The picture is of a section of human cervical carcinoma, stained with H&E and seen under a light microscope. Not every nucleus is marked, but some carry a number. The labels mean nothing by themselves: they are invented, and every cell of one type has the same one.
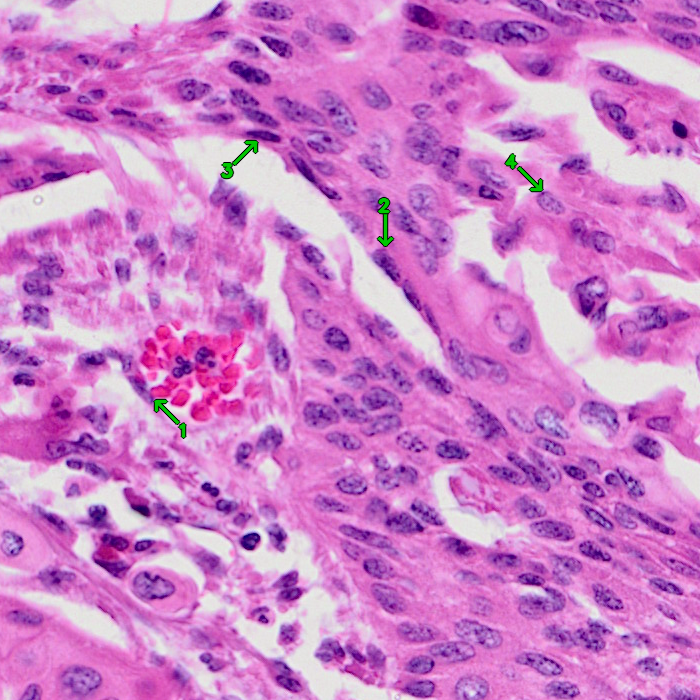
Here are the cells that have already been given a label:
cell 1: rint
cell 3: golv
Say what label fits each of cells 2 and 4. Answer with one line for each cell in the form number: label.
2: golv
4: golv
